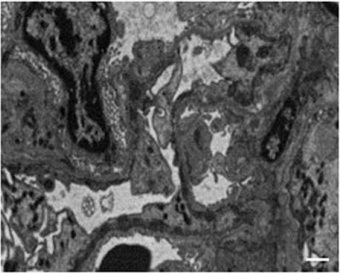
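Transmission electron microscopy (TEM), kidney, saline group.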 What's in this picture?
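Glomerular tuft with capillary loops whose outer covering of podocyte cytoplasm lies as broad, flattened sheets instead of a row of narrow foot processes. Several cells with dark, irregular nuclei lie among the loops. A dense oval body, likely a red blood cell, sits in a capillary lumen near the lower edge.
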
